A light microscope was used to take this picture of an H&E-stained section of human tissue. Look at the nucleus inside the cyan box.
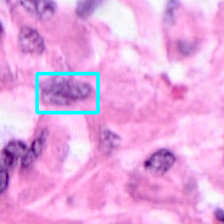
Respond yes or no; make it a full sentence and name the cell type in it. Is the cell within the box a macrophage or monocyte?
No, the identity of the cell within the box is a melanoma cell, not a macrophage or monocyte.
